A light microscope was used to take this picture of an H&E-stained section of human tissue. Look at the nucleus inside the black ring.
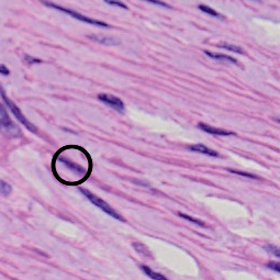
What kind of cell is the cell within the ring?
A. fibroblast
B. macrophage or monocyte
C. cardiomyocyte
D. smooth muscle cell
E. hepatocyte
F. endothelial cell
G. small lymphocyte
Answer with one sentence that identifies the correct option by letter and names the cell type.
According to option A, the cell within the ring is a fibroblast, and this is correct.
